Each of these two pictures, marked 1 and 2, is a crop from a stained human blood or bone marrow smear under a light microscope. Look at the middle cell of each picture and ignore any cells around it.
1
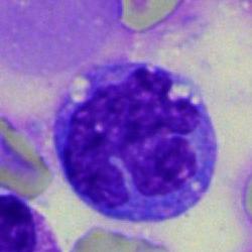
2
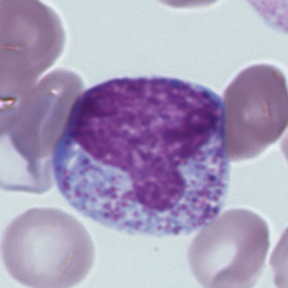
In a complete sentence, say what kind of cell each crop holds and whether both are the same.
No, shown in crop 1 is a monocyte, and shown in crop 2 is a myelocyte.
